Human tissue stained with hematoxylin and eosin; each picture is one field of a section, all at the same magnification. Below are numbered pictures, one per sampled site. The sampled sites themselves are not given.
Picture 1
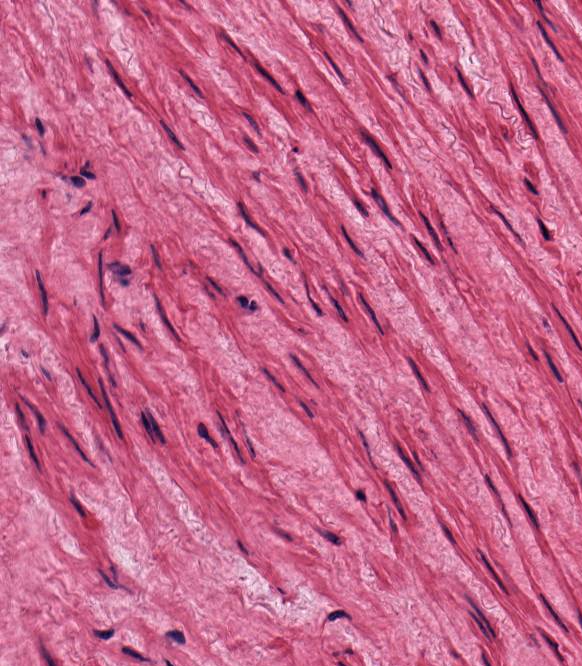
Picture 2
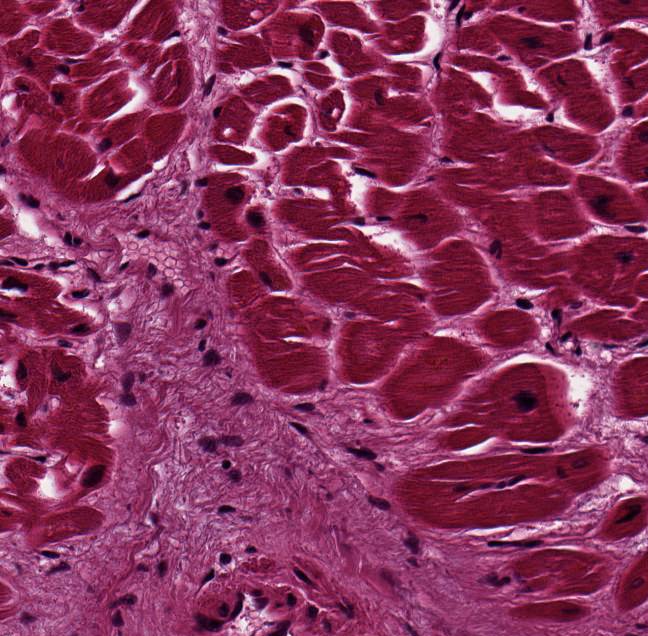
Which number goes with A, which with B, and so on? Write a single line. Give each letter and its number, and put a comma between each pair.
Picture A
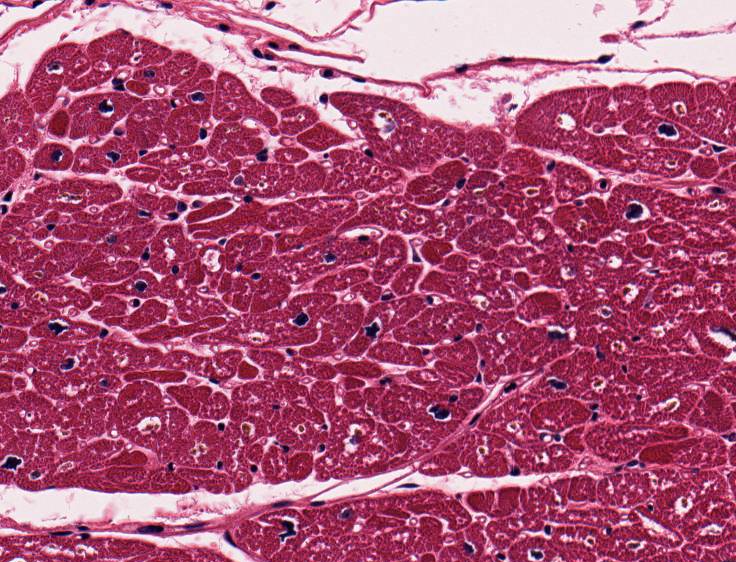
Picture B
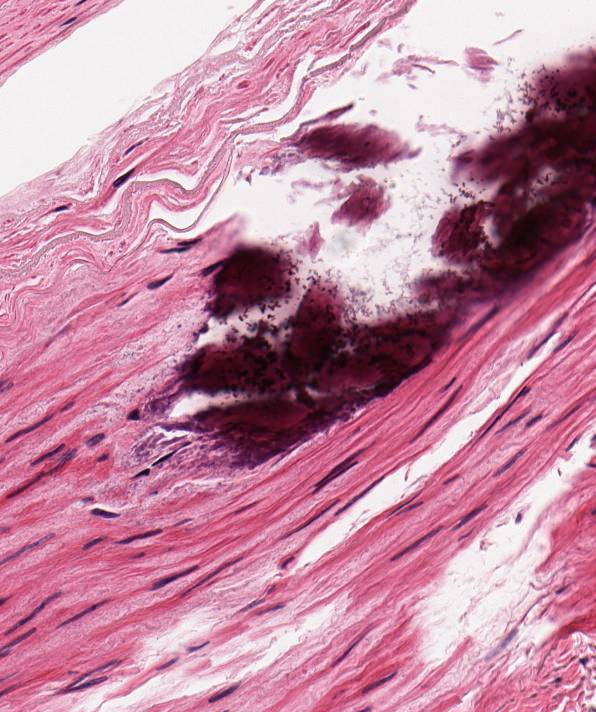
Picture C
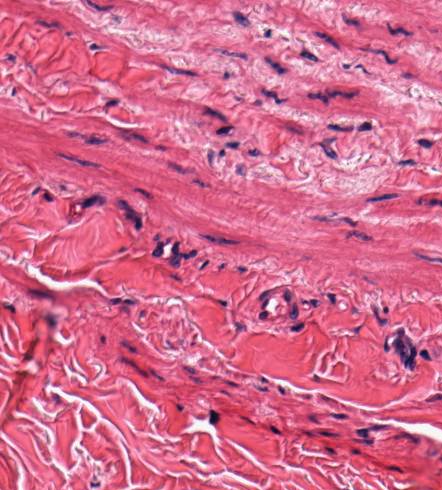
A 2, B 1, C 1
